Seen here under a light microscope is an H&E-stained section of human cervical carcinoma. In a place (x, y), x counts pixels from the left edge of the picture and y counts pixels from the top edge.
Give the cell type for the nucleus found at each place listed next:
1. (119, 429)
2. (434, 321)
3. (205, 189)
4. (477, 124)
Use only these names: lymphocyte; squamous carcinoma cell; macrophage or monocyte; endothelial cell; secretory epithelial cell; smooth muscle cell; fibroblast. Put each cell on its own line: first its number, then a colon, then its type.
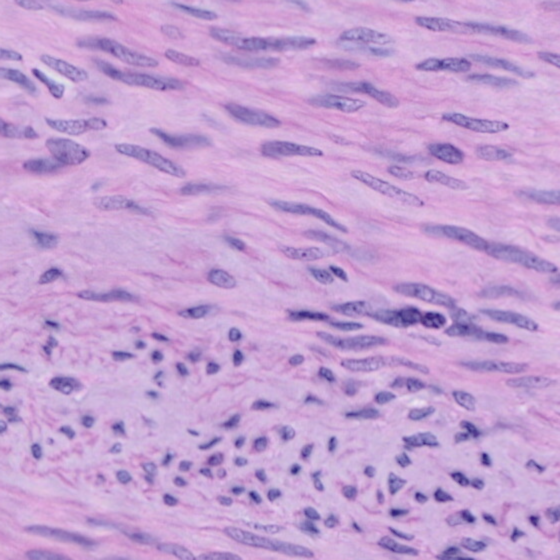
1: smooth muscle cell
2: lymphocyte
3: smooth muscle cell
4: smooth muscle cell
